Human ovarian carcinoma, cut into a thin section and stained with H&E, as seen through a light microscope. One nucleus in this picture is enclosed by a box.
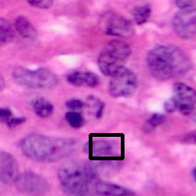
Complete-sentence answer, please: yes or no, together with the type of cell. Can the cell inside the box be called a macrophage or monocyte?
No, a carcinoma cell is what the cell inside the box is, not a macrophage or monocyte.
